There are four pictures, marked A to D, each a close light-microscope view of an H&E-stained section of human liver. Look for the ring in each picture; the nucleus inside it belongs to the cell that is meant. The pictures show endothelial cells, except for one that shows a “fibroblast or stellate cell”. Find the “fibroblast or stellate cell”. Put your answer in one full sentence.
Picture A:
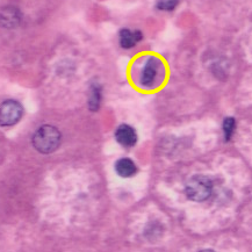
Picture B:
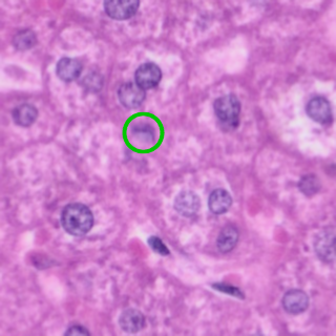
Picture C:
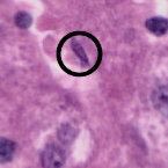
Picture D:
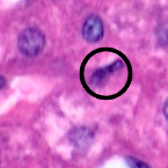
Picture D is the one that shows the “fibroblast or stellate cell”.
